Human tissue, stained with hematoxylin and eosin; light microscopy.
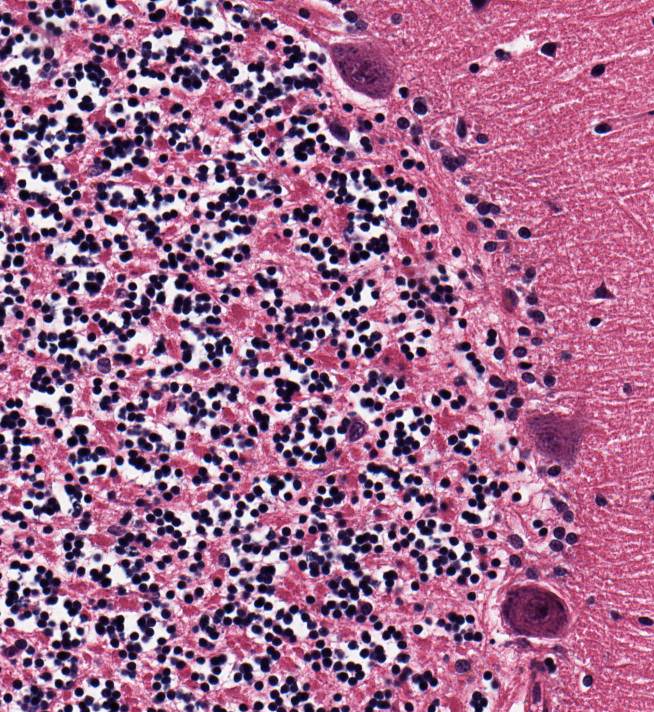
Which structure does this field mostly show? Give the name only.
granular layer of the cerebellum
